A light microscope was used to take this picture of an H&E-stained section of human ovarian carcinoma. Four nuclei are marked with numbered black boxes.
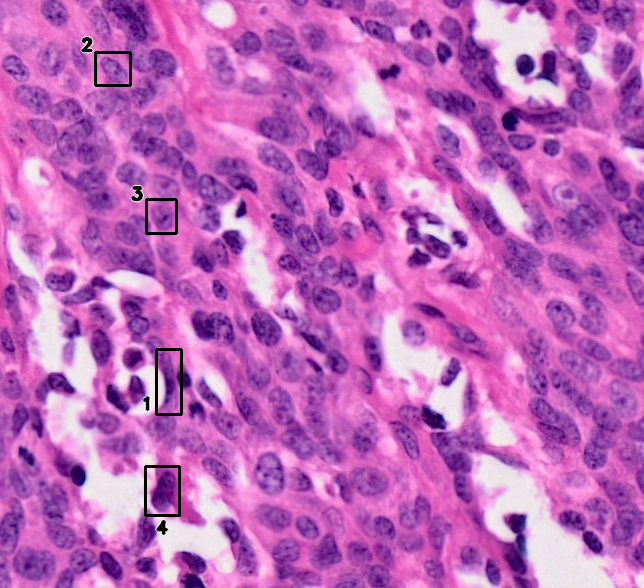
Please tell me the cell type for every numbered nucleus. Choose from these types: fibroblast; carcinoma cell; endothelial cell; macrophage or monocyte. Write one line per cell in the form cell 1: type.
cell 1: carcinoma cell
cell 2: carcinoma cell
cell 3: macrophage or monocyte
cell 4: carcinoma cell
